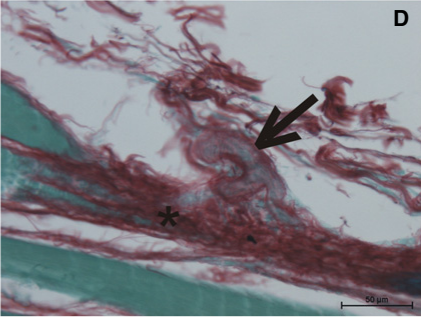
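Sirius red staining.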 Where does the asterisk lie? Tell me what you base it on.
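Red-stained fibrous bundles meet green-stained muscle fibers. The answer: musculo‐tendinous junction.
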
